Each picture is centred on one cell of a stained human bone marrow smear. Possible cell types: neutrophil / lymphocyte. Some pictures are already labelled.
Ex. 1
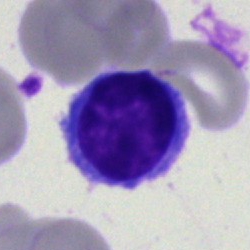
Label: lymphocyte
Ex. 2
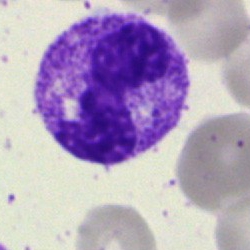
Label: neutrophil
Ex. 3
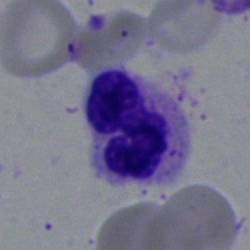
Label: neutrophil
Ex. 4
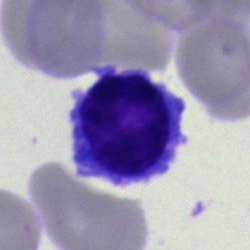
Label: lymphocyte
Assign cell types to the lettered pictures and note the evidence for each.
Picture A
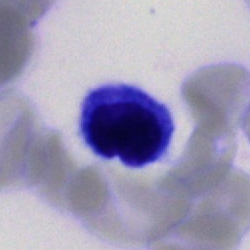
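lymphocyte: The nucleus fills almost the whole cell, leaving only a very thin rim of cytoplasm.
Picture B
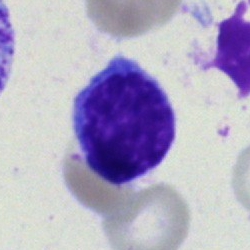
lymphocyte: The nucleus fills almost the whole cell, leaving very scant cytoplasm.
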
